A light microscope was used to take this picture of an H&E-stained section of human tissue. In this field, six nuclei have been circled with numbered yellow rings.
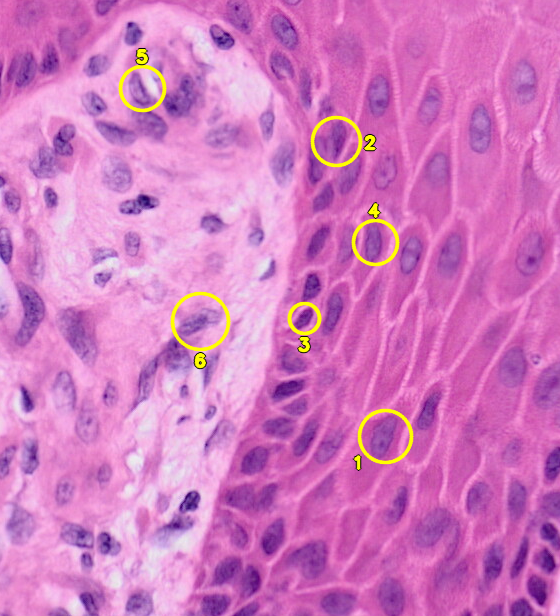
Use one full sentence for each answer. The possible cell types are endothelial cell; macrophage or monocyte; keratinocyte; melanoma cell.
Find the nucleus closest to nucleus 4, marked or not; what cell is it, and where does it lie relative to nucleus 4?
Lying to the left of nucleus 4, the nearest nucleus is that of a keratinocyte.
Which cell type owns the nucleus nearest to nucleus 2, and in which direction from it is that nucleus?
A keratinocyte lies closest, below and to the left of nucleus 2.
